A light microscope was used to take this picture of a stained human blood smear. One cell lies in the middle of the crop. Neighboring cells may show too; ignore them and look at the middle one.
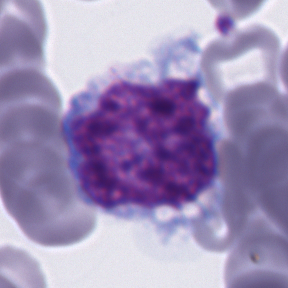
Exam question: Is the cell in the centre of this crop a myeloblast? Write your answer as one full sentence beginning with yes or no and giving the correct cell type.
No, the label for the central cell is a monocyte, not a myeloblast.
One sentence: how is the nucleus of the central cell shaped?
The nuclear material is gathered into one compact round, oval or kidney-shaped mass.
